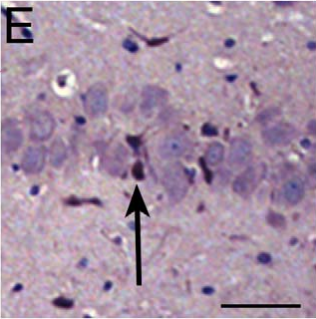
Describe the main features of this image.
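This is the hippocampus, where a band of large pyramidal cells runs across the middle of the field. Their nuclei are large, round and pale blue, often with a visible nucleolus, and they are packed closely side by side. Wedged within this band is an elongated, darkly stained cell that differs clearly from its pale neighbours. Above and below the band the tissue is looser, with scattered small dark elongated nuclei in a pale neuropil. A small clear round space lies near the upper left.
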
